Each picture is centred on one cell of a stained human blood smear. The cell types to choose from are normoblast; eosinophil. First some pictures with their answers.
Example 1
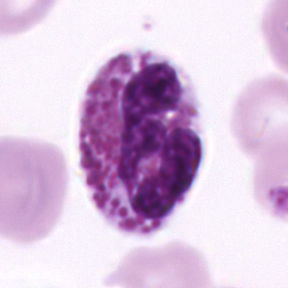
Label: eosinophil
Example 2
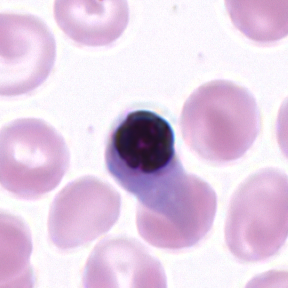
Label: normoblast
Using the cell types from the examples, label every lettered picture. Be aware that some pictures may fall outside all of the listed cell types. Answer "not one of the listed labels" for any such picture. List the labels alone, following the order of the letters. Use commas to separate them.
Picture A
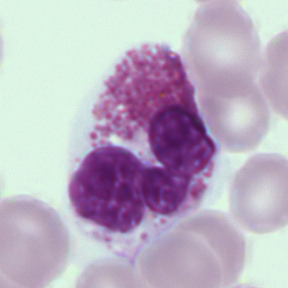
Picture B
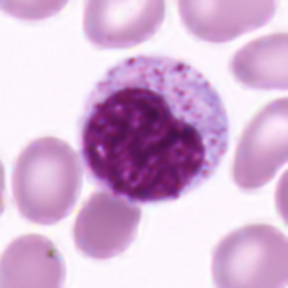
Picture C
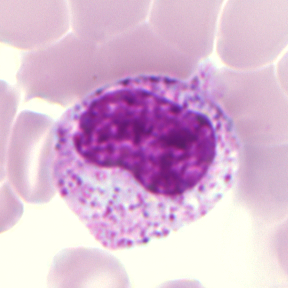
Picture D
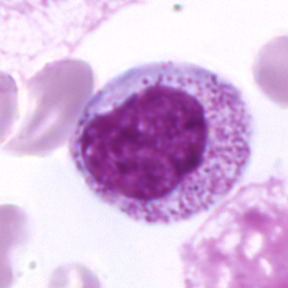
eosinophil, not one of the listed labels, not one of the listed labels, not one of the listed labels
